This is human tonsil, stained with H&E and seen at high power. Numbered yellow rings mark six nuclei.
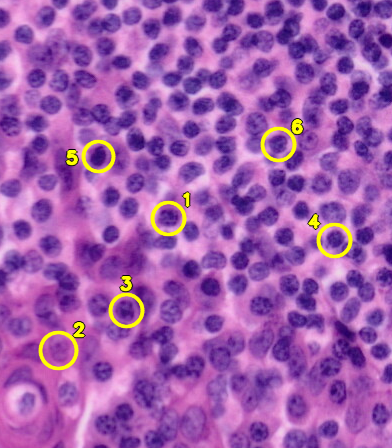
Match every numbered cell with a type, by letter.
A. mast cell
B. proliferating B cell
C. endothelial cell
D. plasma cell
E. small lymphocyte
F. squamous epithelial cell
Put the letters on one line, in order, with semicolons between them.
D; F; D; E; D; E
